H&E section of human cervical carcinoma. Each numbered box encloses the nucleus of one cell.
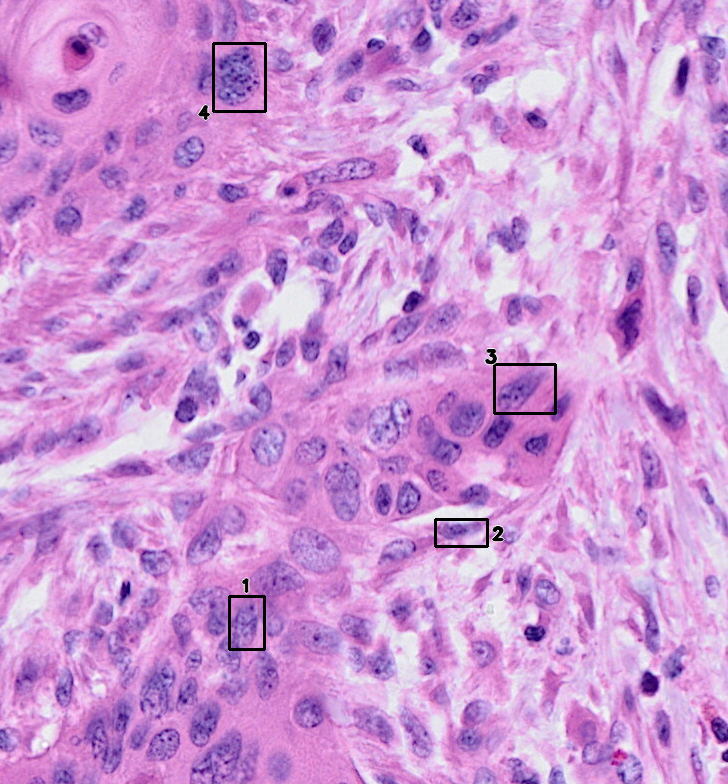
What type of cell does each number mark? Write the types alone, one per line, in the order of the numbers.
squamous carcinoma cell
fibroblast
squamous carcinoma cell
squamous carcinoma cell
